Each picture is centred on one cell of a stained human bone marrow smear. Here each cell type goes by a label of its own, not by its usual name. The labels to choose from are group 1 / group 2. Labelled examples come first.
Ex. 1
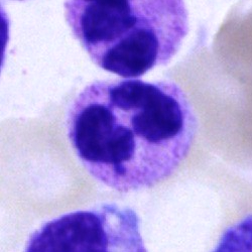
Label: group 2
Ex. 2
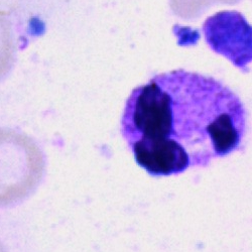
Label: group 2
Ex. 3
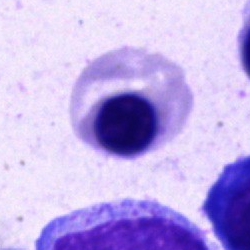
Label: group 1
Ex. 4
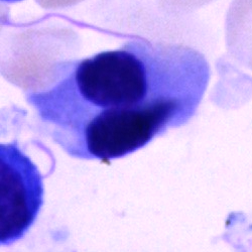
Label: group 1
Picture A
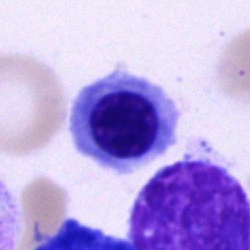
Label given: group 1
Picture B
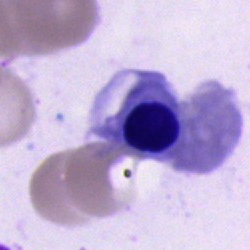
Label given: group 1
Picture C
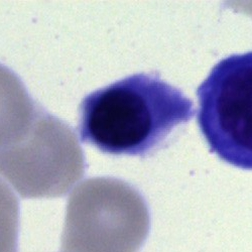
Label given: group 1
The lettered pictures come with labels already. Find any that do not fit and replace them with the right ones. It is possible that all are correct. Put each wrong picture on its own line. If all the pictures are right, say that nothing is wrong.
None of the labels needs changing.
